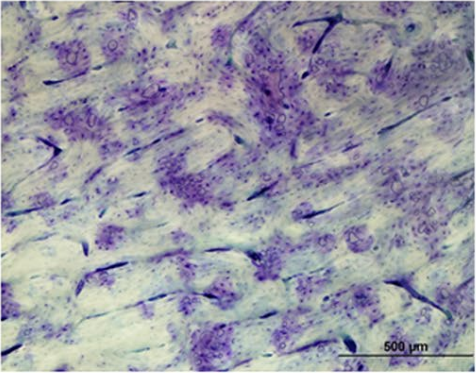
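A bone slice with a pale bluish surface and long dark lines running across it. Dark purple resorption areas appear as clusters of small round pits scattered over the surface, with clear unstained bone between the patches.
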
